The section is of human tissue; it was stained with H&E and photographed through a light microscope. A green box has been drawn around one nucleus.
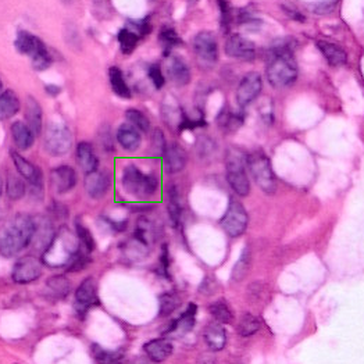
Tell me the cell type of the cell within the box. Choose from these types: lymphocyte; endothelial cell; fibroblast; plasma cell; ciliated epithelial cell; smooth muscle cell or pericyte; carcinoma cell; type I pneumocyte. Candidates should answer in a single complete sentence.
By its classification, the cell within the box is a ciliated epithelial cell.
